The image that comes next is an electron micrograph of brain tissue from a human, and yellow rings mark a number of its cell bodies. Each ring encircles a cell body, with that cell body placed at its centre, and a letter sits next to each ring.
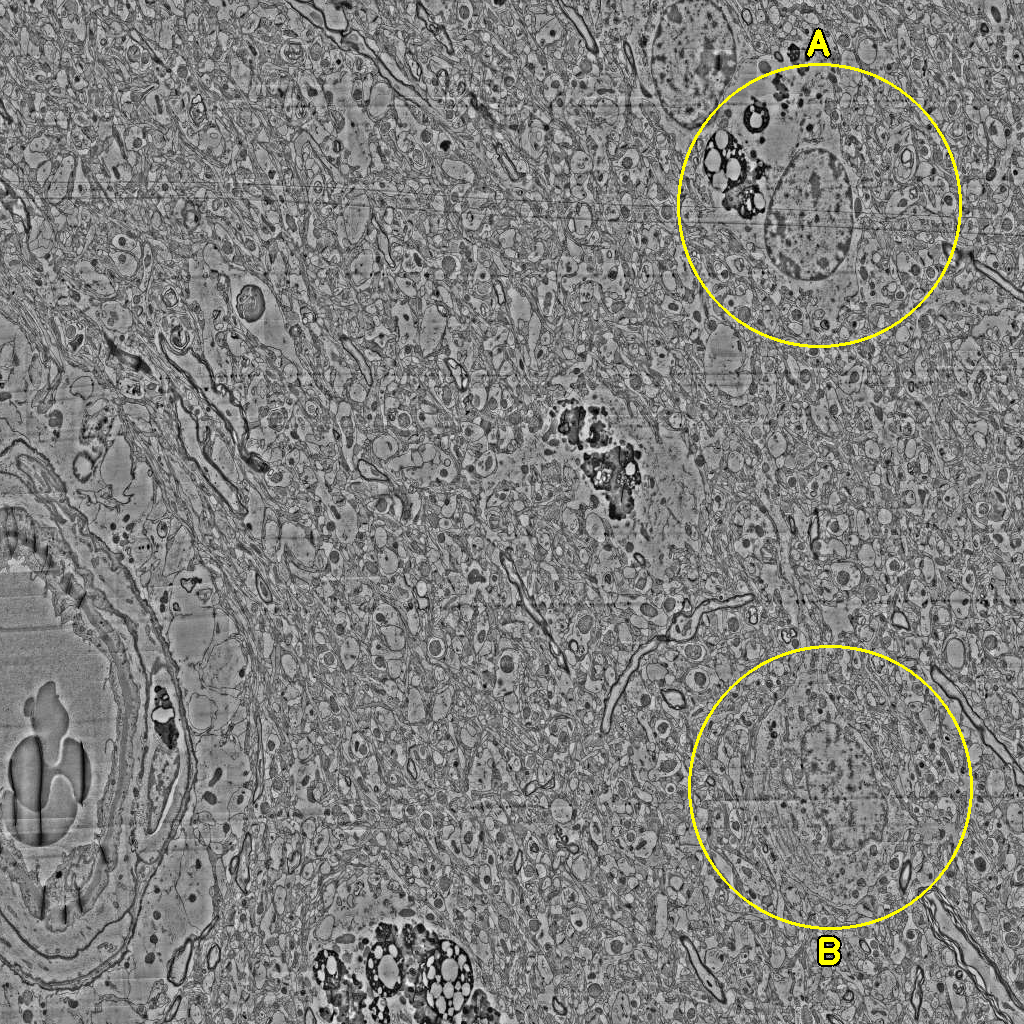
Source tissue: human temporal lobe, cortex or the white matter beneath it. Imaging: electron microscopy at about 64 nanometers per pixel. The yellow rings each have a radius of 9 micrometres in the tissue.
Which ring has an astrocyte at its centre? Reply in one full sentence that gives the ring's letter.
In the image, ring A has the cell the question asks for at its centre.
